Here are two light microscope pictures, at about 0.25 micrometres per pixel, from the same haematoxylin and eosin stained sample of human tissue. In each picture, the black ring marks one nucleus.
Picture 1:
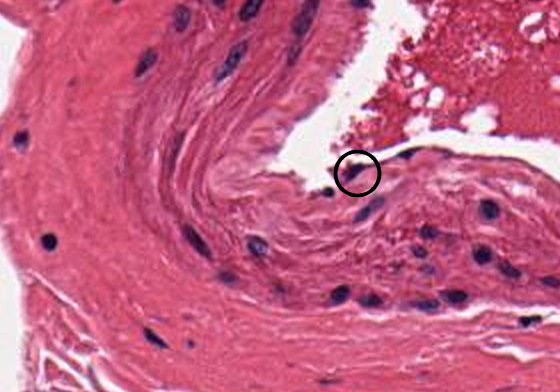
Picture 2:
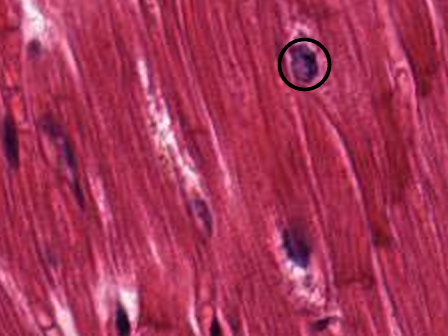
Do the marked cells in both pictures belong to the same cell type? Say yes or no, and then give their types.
No, the first is an endothelial cell and the second a cardiomyocyte.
